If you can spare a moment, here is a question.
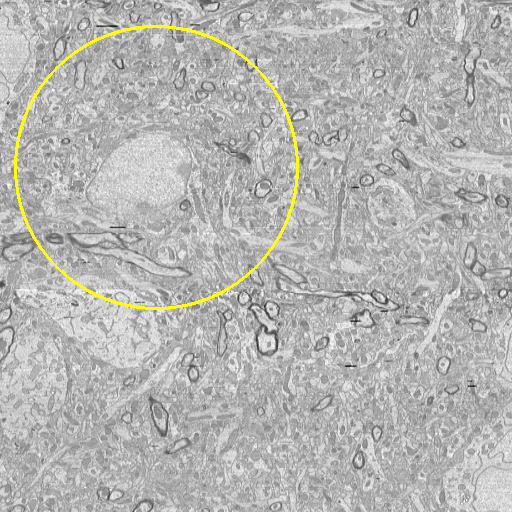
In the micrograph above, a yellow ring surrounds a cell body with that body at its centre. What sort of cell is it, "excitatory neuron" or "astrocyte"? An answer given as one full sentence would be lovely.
Centred inside the yellow ring, the cell body shown belongs to an astrocyte in this micrograph.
